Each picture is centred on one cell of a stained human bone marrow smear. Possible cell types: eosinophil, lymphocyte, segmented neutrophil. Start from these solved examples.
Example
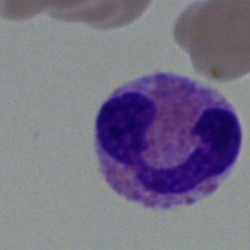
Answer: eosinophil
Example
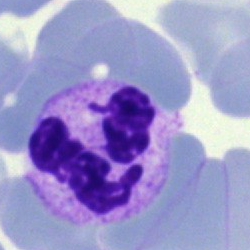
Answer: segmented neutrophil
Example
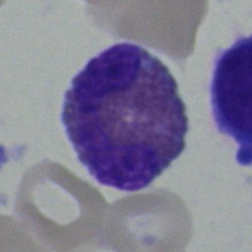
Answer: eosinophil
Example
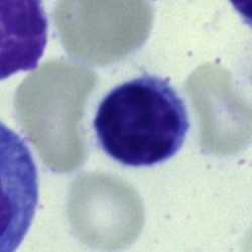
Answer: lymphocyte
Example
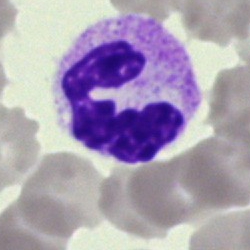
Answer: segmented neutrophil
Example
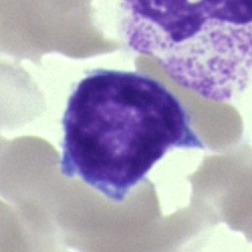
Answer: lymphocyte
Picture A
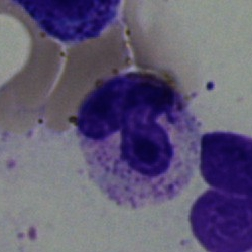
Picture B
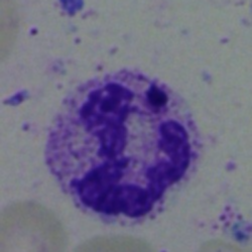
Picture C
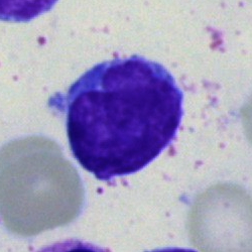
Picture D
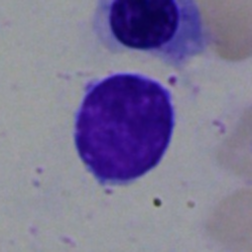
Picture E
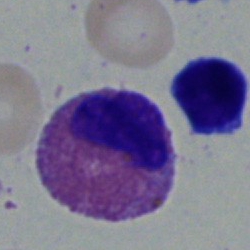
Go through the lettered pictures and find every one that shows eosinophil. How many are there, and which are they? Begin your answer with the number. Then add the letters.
Count: 1 (E)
